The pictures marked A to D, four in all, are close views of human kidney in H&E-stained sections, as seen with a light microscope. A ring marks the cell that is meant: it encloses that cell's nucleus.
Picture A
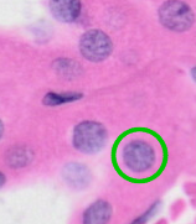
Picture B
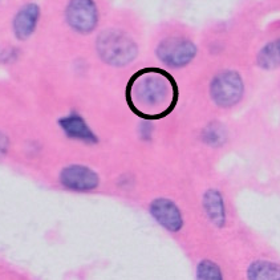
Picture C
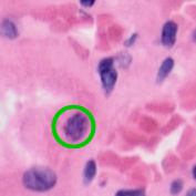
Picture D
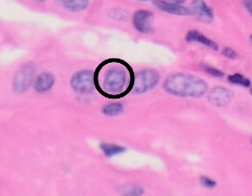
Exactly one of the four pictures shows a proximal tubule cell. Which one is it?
C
